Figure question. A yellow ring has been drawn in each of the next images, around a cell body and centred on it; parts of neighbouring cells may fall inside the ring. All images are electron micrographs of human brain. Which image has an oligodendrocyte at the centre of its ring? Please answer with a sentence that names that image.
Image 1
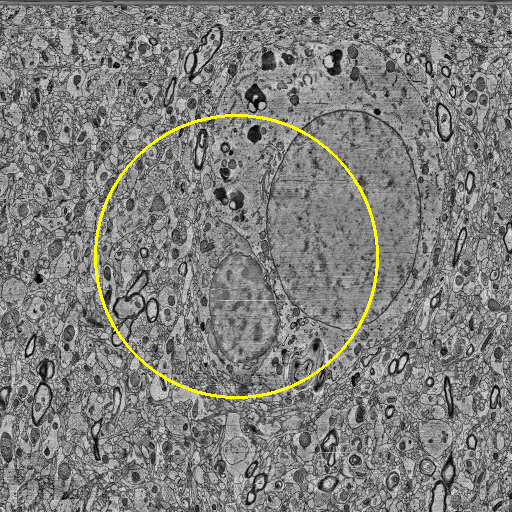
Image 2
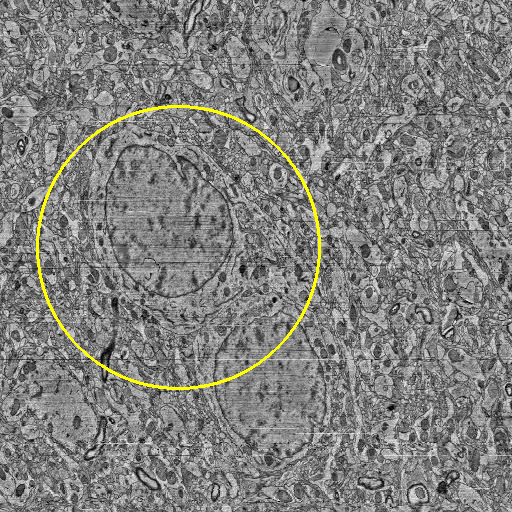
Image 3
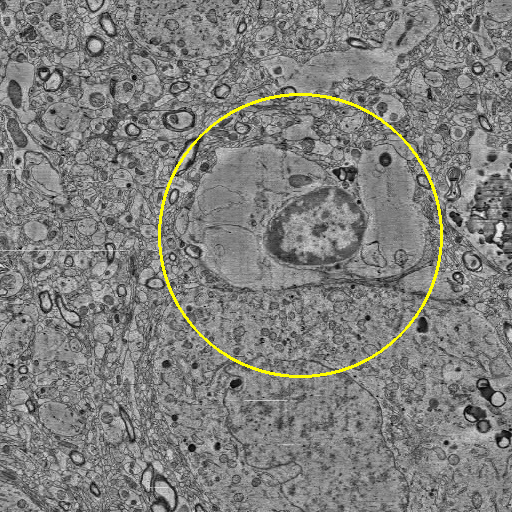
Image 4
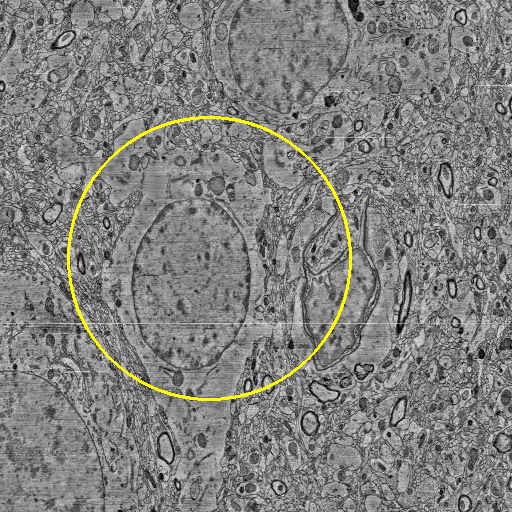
The cell at the centre of the ring in Image 1 is of that kind.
